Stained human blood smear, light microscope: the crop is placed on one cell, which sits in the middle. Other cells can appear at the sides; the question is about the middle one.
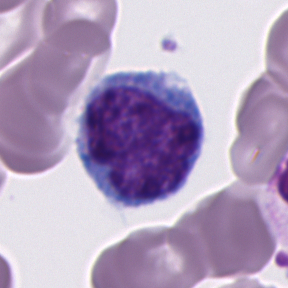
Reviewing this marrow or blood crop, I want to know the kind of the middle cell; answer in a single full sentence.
The cell nearest the centre of this crop is a monocyte.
